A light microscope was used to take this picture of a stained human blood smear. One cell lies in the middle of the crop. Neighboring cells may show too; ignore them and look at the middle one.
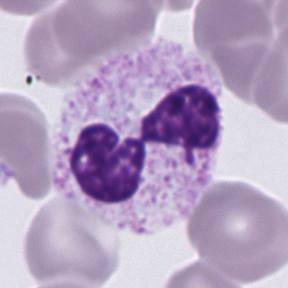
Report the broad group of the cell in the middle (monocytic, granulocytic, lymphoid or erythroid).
granulocytic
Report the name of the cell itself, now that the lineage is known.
segmented neutrophil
